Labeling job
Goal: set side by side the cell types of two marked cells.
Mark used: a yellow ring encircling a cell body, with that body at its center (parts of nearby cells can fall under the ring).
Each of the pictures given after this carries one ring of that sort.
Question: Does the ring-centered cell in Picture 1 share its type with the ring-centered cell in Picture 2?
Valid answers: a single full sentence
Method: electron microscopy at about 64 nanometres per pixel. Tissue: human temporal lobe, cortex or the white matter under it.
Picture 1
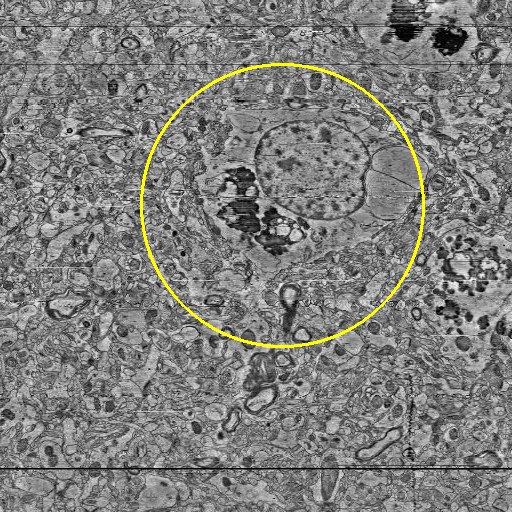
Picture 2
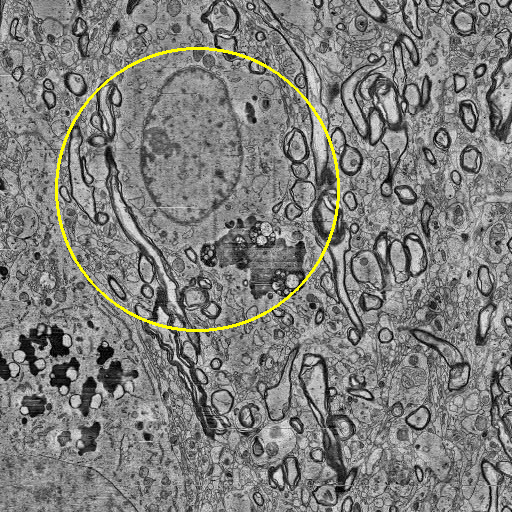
Yes, in Pictures 1 and 2 the cells at the ring centers share one type.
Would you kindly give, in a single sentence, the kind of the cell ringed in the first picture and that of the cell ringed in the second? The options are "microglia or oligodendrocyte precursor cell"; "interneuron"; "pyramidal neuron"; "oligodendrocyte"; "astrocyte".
The cell in the first picture is an astrocyte, and so is the one in the second.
